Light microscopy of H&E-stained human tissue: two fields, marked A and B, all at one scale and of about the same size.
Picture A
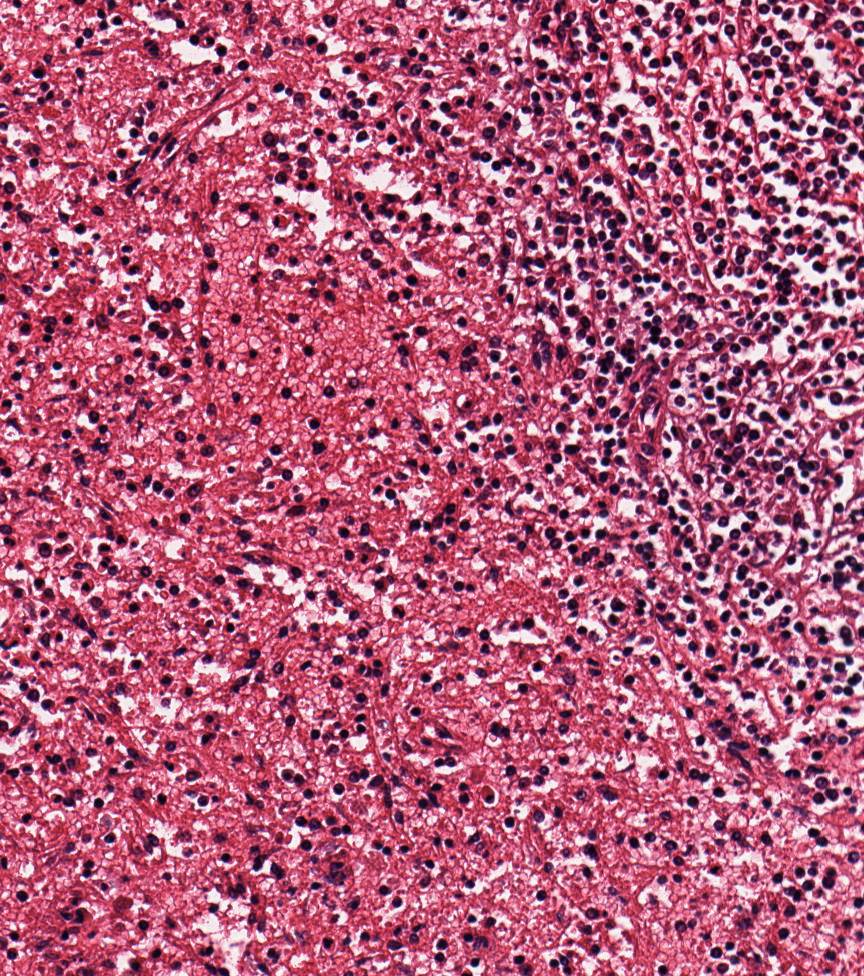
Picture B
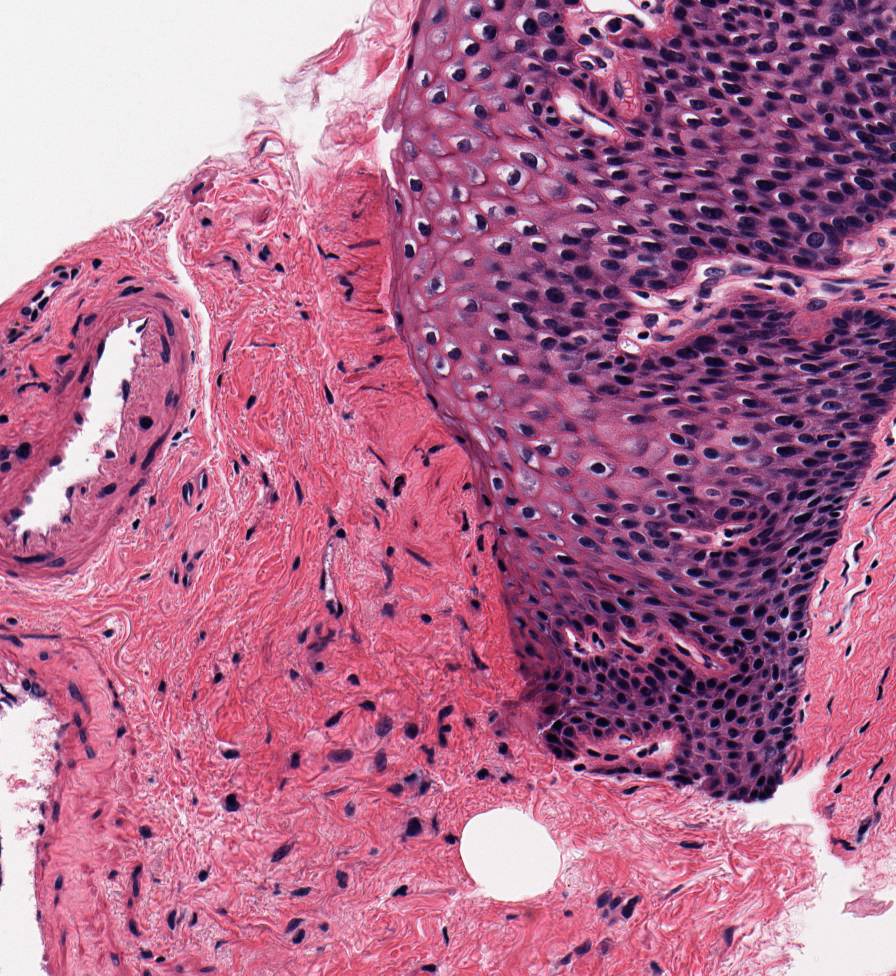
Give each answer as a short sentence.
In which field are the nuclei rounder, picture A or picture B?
On the whole the nuclei of picture A are rounder than those of picture B.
